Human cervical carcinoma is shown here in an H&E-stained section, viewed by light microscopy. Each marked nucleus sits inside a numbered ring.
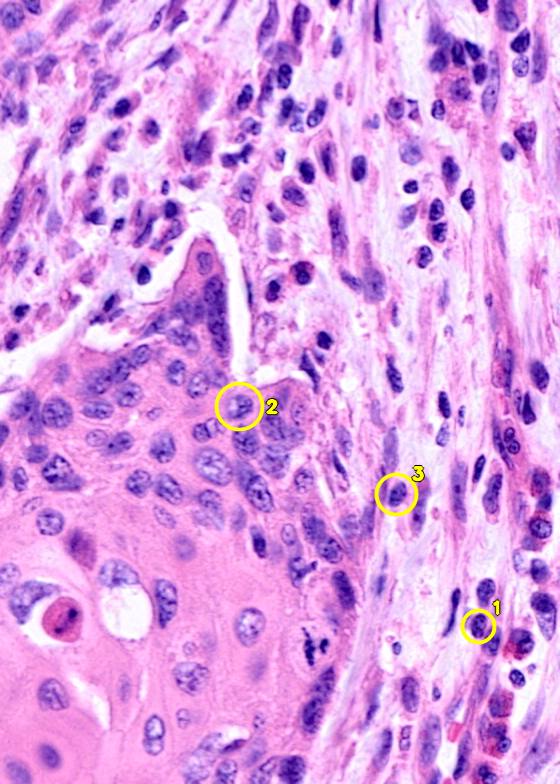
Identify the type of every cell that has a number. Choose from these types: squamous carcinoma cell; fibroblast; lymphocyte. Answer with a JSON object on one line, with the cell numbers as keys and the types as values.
{"1": "lymphocyte", "2": "squamous carcinoma cell", "3": "lymphocyte"}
